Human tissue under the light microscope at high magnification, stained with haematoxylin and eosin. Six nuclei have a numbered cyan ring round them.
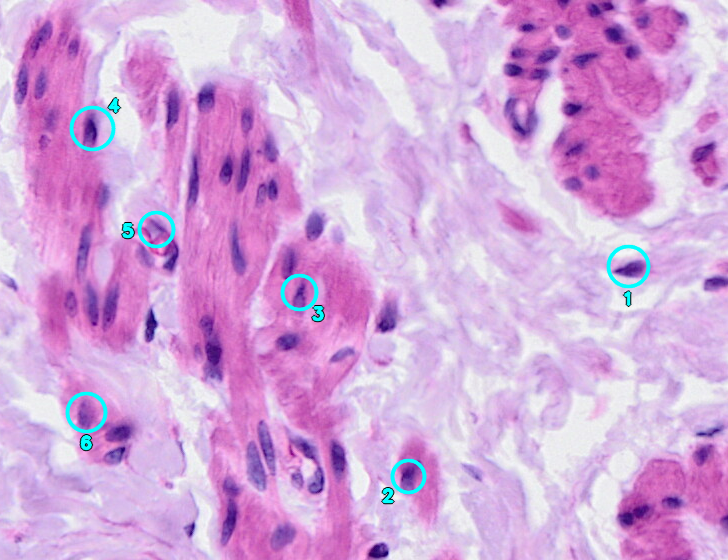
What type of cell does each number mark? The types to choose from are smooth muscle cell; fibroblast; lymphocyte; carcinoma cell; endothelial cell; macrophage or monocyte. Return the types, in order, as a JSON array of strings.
["fibroblast", "smooth muscle cell", "smooth muscle cell", "smooth muscle cell", "endothelial cell", "smooth muscle cell"]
